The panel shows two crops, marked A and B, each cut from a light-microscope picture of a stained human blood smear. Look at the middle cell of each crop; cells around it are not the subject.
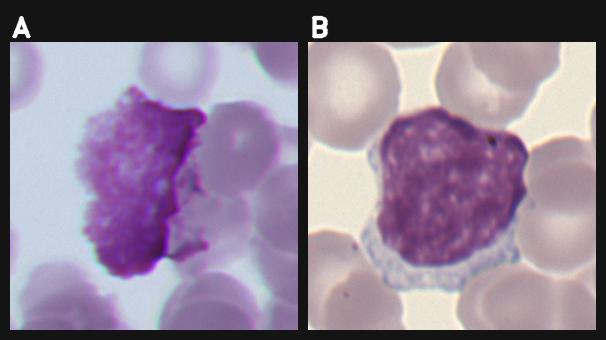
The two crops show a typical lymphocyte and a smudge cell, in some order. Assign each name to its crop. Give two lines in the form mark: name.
A: smudge cell
B: typical lymphocyte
